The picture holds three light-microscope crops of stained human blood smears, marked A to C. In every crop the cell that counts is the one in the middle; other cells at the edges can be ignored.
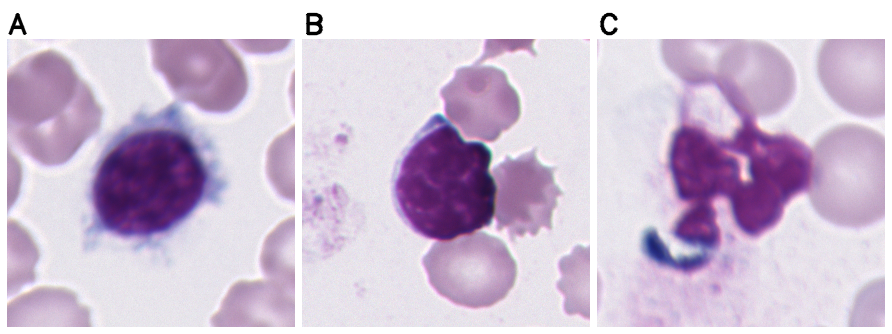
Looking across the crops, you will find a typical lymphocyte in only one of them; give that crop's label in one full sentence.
Of the labelled crops, the one that shows a typical lymphocyte is crop B.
